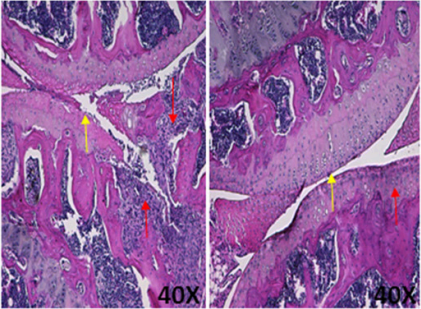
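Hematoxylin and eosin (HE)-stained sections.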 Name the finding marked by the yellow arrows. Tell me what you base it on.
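Destruction of joint cartilage. The yellow arrows point to the pale pink articular cartilage surface. In the left image the cartilage edge at the arrow is irregular and disrupted.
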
